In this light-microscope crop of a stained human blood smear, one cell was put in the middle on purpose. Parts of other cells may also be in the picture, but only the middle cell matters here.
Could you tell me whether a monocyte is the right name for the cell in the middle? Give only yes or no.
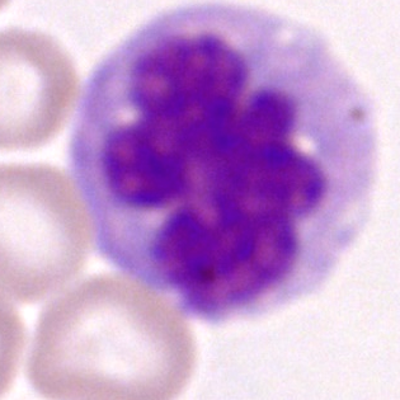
yes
